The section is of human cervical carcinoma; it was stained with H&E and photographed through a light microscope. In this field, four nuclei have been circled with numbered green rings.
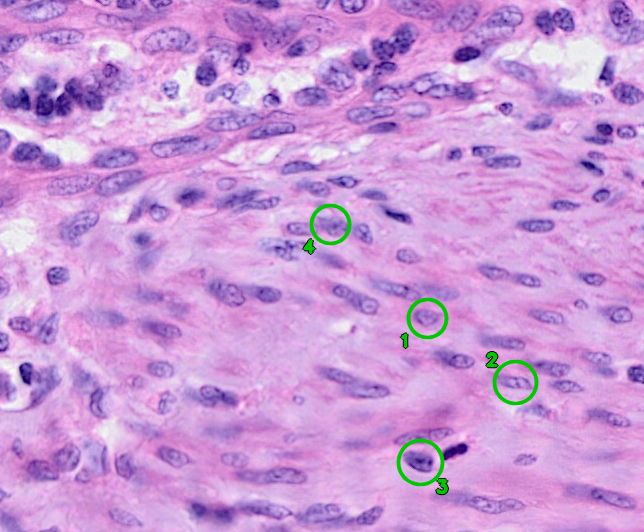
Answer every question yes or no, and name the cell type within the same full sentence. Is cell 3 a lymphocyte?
Yes, the one with the number 3 is a lymphocyte.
